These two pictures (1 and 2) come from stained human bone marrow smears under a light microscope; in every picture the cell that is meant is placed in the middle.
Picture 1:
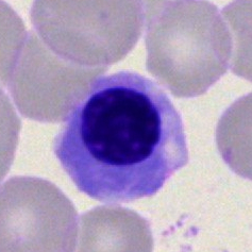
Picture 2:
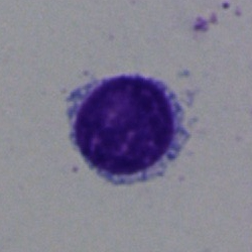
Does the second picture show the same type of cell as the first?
no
